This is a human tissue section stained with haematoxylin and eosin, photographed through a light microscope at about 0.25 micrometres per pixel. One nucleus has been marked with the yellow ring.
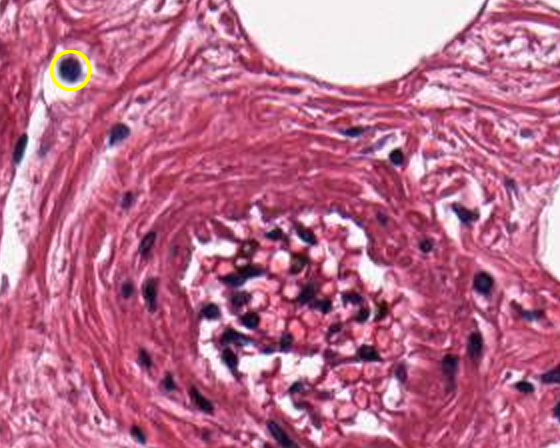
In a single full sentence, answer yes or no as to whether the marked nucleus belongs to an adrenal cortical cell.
No, the marked nucleus, which belongs to a supporting cell, is not part of an adrenal cortical cell.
